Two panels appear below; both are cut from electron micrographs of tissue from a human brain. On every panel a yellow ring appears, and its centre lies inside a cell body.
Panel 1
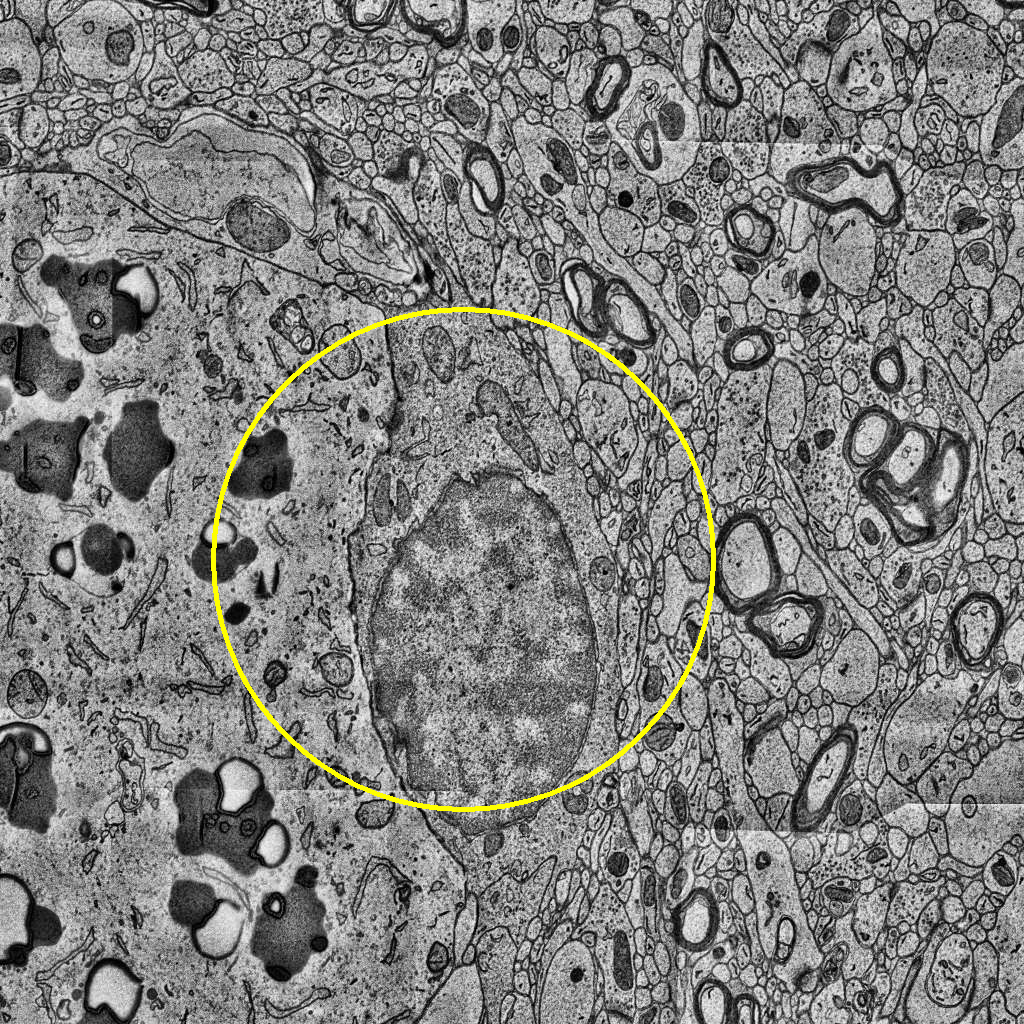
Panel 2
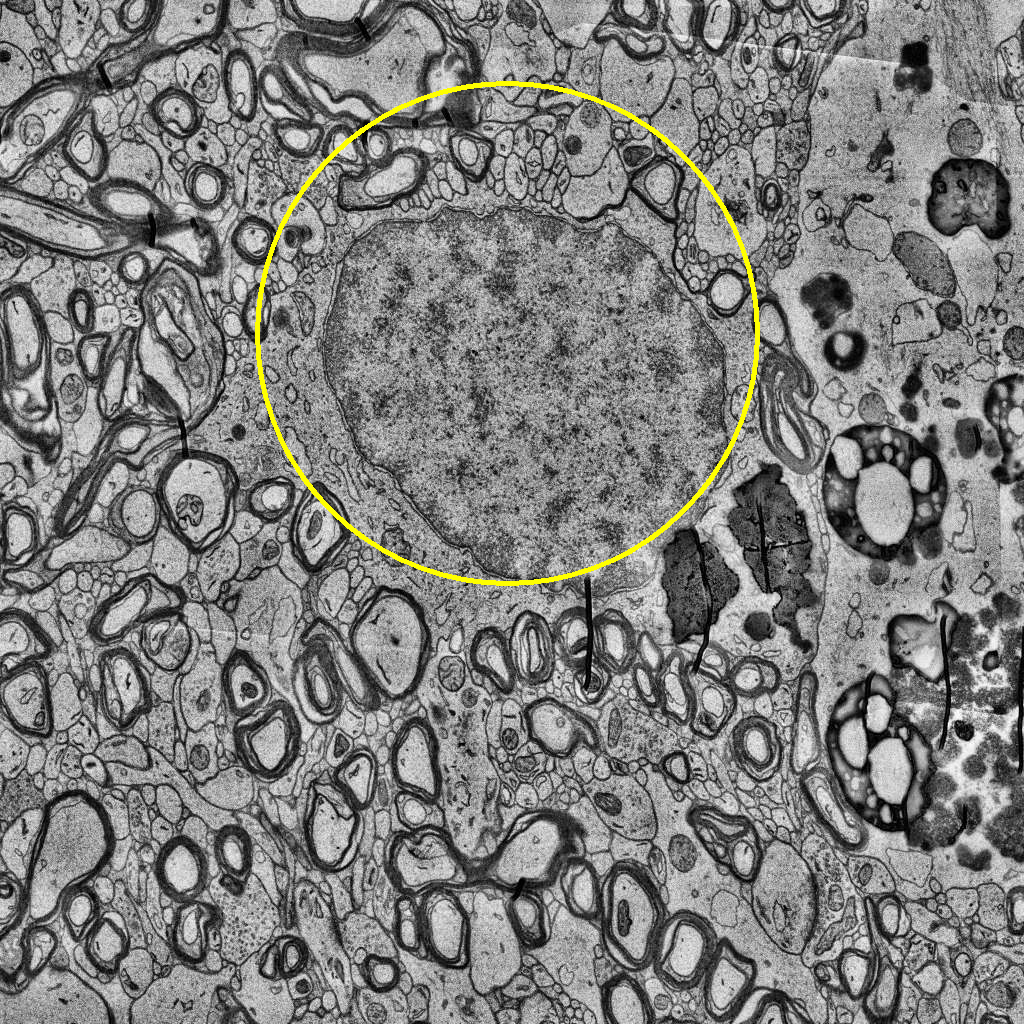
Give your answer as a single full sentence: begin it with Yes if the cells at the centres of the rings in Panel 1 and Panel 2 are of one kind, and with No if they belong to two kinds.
Yes, the cells at the middle of the rings in Panels 1 and 2 are of one kind.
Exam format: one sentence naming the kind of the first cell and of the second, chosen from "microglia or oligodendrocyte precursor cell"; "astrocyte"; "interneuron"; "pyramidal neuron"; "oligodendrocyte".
The second cell is an oligodendrocyte, just as the first is.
